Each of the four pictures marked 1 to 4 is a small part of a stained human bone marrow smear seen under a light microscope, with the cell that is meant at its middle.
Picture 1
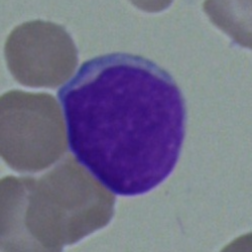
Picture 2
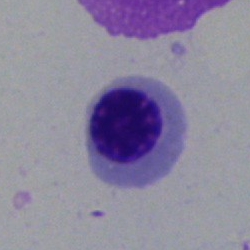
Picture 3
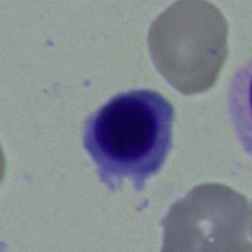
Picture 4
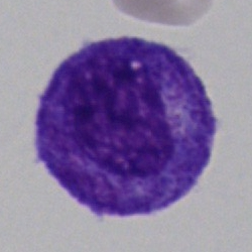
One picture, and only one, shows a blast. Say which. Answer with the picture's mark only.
1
